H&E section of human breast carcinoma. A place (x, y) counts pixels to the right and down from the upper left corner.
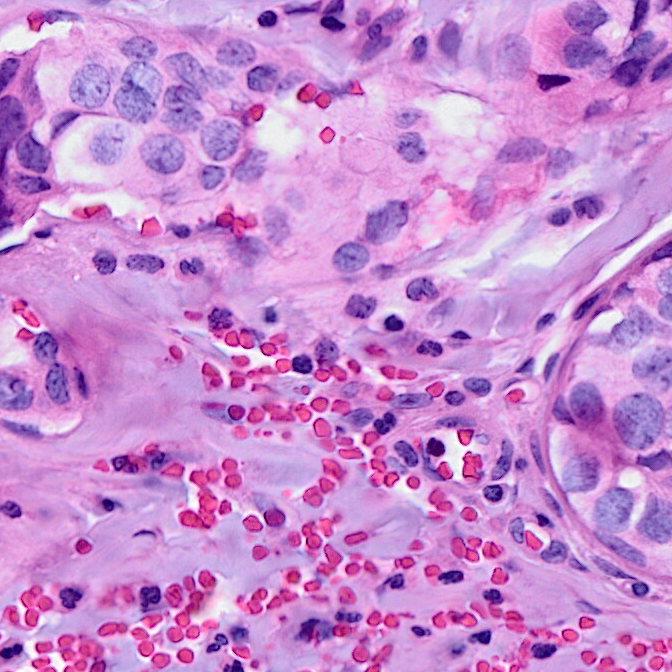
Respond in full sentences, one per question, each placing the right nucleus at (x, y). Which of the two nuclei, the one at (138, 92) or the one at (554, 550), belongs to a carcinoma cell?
It is the nucleus at (138, 92), not the other one, that belongs to a carcinoma cell.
